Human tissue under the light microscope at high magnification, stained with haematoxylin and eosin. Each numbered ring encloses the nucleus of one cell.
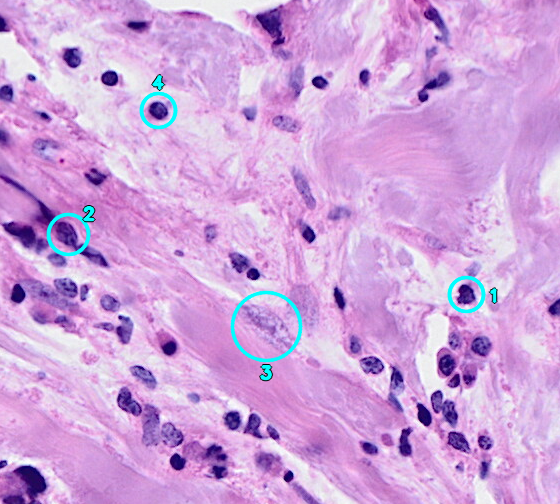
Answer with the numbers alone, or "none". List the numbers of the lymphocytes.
1, 2, 4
